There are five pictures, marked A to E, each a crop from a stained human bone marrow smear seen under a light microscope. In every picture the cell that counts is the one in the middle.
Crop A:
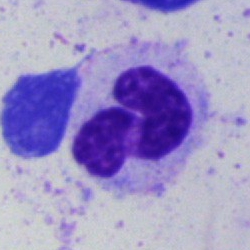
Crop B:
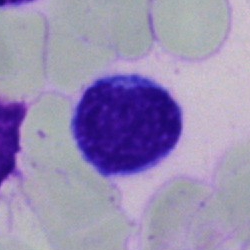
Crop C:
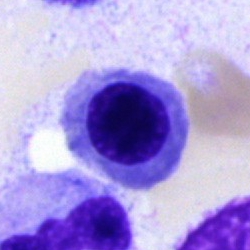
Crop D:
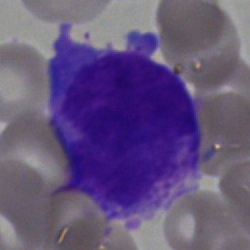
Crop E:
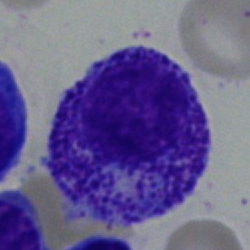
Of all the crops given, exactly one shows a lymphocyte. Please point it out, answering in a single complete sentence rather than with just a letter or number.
The requested cell, a lymphocyte, is the one in crop B.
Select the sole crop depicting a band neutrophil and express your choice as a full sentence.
Of the crops given, a band neutrophil is found in crop A.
